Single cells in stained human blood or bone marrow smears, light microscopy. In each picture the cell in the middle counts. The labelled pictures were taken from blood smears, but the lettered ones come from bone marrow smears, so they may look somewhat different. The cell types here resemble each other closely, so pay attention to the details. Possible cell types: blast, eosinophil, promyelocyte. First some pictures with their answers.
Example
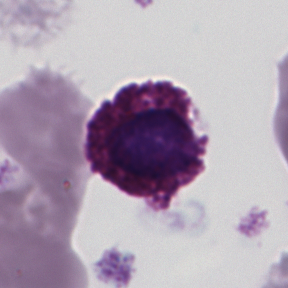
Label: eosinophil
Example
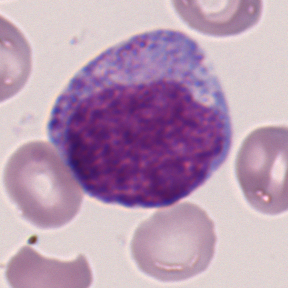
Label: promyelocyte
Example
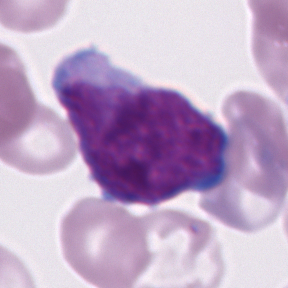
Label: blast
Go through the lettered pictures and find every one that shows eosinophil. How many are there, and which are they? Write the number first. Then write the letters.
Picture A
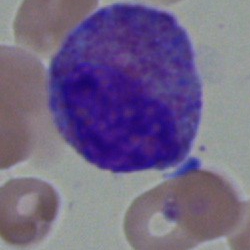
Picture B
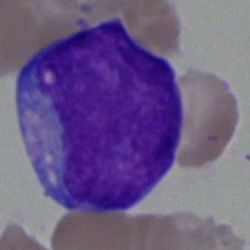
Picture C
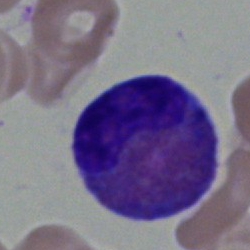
Count: 2 (A, C)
